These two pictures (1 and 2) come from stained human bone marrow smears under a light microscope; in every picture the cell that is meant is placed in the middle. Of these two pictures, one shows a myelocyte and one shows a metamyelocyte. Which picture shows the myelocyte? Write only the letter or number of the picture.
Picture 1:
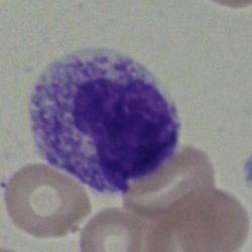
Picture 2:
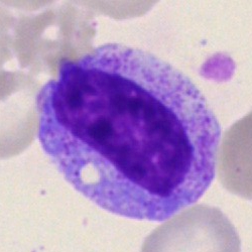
1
